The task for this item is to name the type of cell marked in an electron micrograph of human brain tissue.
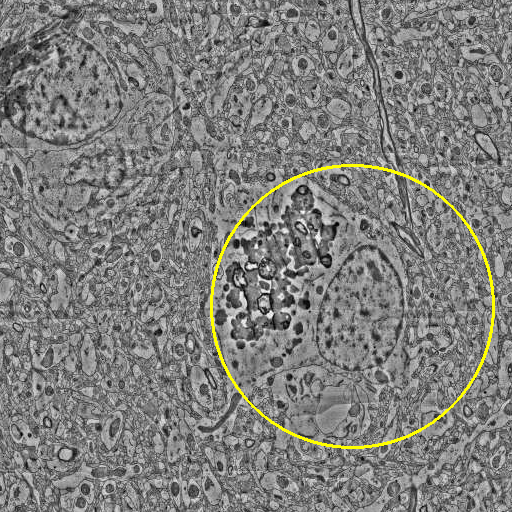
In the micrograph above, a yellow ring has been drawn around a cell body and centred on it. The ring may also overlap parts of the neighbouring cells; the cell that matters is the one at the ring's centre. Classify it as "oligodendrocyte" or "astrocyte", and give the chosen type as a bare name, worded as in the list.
astrocyte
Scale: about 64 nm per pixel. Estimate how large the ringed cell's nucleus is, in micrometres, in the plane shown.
About 8 micrometres by about 5 micrometres in this plane.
